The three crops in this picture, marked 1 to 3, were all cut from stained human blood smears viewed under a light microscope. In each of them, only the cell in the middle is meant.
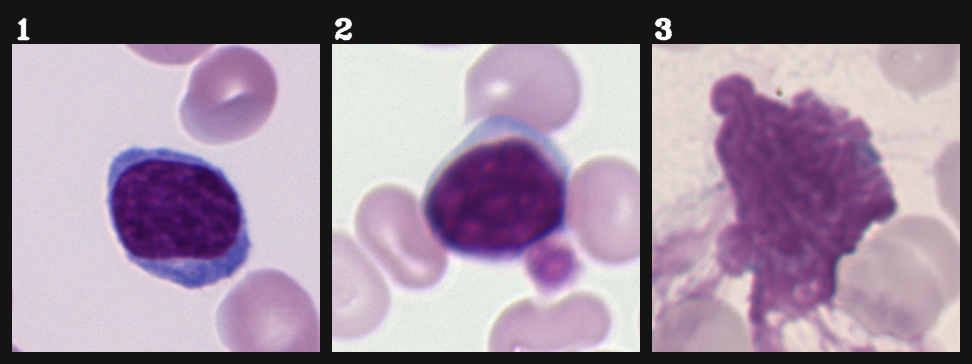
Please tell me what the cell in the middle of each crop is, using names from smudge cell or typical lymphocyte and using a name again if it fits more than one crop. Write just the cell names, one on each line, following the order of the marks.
typical lymphocyte
typical lymphocyte
smudge cell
